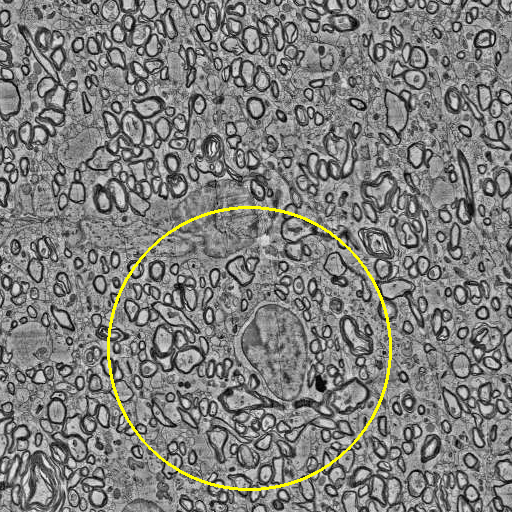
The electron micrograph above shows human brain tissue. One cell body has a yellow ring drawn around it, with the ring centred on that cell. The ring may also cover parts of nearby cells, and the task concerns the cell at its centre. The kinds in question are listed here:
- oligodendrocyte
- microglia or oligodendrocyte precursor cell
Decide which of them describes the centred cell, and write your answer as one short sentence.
The centred cell is a microglial cell or oligodendrocyte precursor cell.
